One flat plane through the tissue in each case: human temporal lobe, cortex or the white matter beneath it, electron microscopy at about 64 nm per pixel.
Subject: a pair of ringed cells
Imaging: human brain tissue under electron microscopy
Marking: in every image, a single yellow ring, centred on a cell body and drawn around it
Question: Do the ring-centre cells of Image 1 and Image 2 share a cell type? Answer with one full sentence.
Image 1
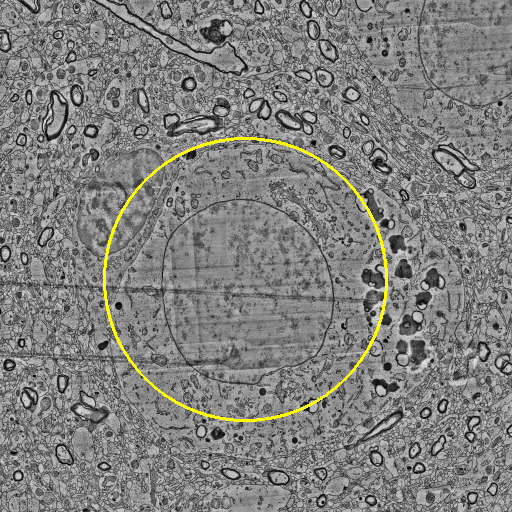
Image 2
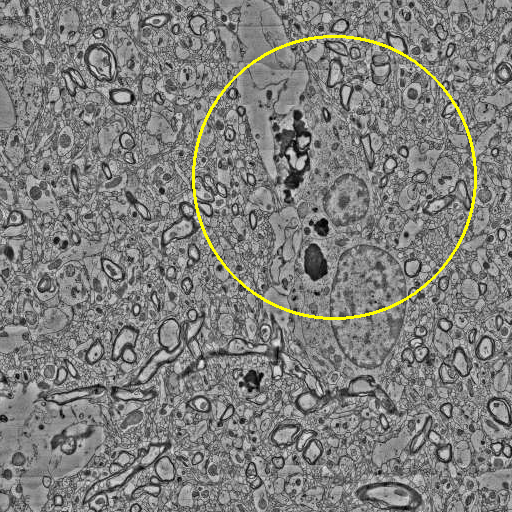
No, at the ring centres in the images sit cells of two separate types.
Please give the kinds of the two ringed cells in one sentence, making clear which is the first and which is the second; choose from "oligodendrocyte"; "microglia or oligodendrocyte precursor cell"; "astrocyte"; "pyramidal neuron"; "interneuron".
In the second picture the ringed cell is an oligodendrocyte; in the first it is a pyramidal neuron.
